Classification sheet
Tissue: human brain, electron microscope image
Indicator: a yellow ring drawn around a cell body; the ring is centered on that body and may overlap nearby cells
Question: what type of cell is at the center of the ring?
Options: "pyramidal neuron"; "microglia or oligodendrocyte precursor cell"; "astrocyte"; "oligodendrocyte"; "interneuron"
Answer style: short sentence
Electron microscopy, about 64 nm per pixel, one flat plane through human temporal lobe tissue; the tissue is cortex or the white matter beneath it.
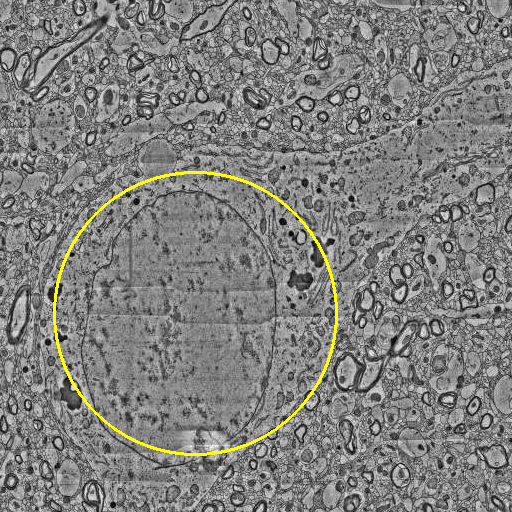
At the ring's center is a pyramidal neuron.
